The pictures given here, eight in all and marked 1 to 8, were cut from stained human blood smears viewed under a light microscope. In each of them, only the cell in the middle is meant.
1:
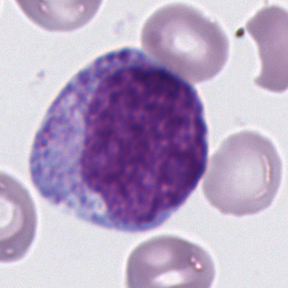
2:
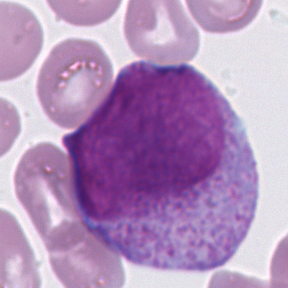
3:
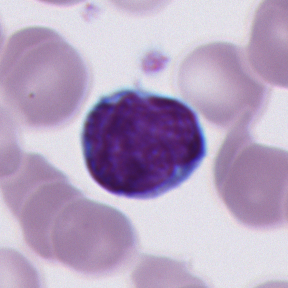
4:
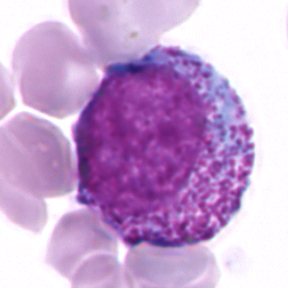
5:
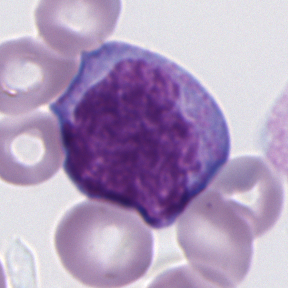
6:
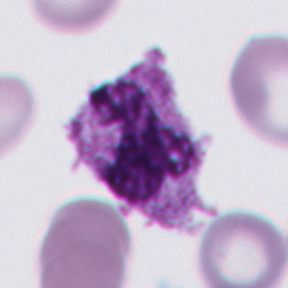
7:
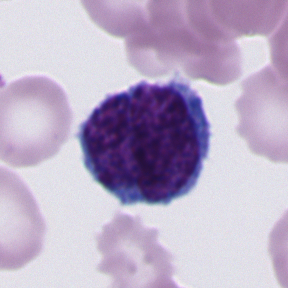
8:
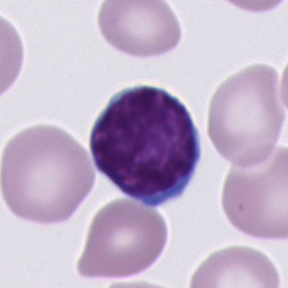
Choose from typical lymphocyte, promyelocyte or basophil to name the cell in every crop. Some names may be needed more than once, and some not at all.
1: promyelocyte
2: promyelocyte
3: typical lymphocyte
4: promyelocyte
5: promyelocyte
6: basophil
7: typical lymphocyte
8: typical lymphocyte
